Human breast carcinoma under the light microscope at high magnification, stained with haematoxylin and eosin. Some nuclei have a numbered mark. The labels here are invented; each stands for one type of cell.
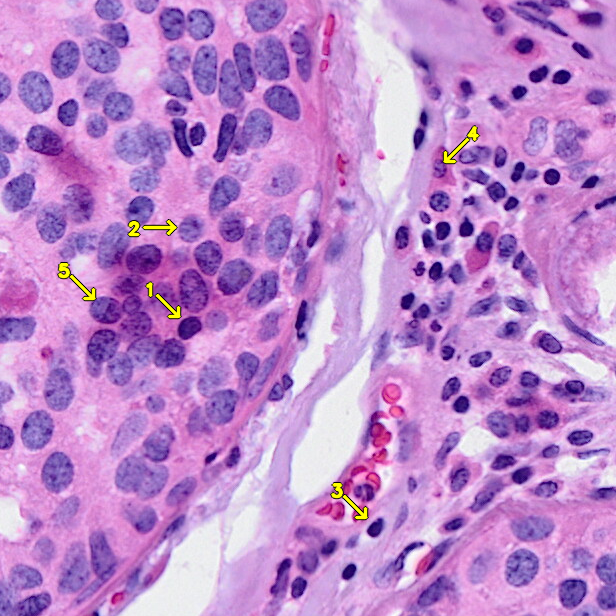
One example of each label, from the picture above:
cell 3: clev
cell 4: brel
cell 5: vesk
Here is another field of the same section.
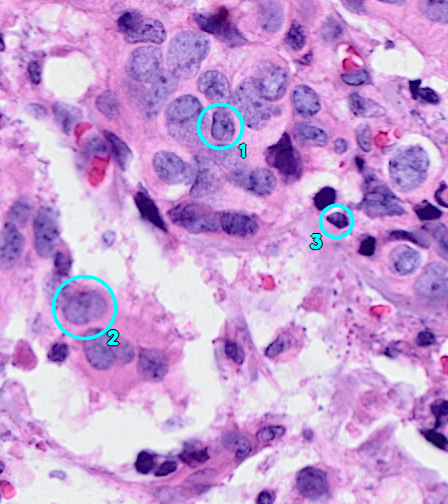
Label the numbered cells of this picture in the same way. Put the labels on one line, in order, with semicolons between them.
vesk; vesk; clev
